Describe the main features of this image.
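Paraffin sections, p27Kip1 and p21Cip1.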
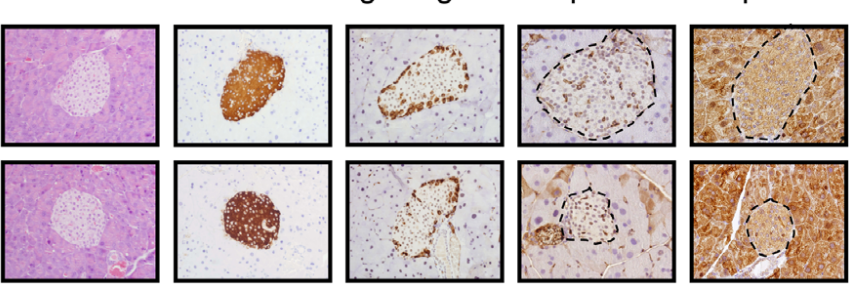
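These are sections of pancreas, each centred on a rounded pancreatic islet set within the surrounding glandular tissue. In the pink-and-purple stained sections the islets stand out as pale, loosely textured clusters against the denser, more darkly stained tissue around them. In some sections a brown stain fills nearly the whole islet, while in others the brown-stained cells form a rim around the islet's edge.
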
